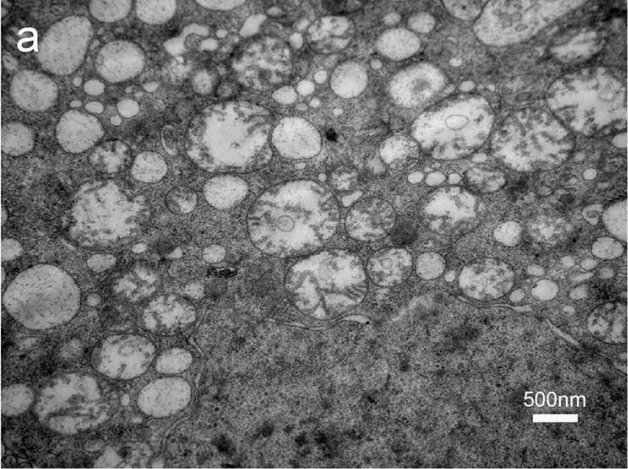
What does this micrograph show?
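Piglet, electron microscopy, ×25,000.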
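This electron micrograph shows cytoplasm packed with mitochondria of widely differing sizes. Most are rounded and swollen, their interiors pale and watery with only scattered remnants of cristae, and they crowd together across the upper part of the field above a denser, granular cytoplasm.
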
